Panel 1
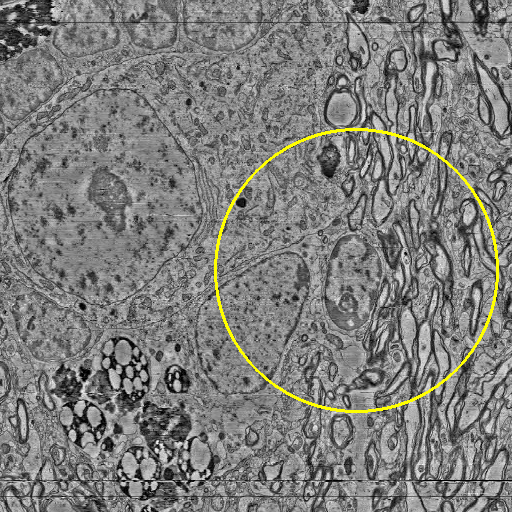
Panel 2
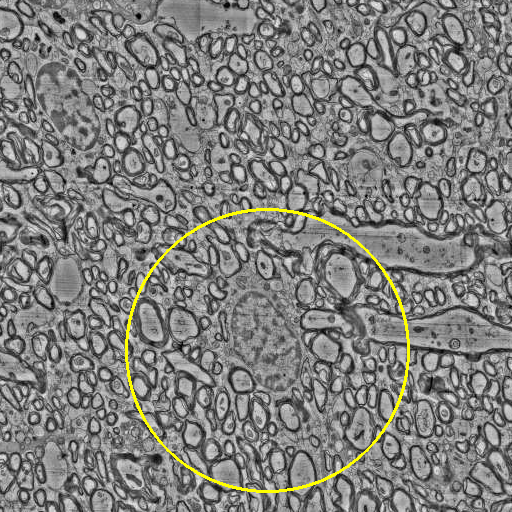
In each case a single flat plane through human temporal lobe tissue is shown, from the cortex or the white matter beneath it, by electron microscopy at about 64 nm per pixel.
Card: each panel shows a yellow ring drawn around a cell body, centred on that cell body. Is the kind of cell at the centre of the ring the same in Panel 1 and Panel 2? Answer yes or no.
no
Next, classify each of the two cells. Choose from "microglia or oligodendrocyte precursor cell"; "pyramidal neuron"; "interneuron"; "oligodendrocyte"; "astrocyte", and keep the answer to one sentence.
In the first picture it is a microglial cell or oligodendrocyte precursor cell; in the second it is an oligodendrocyte.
